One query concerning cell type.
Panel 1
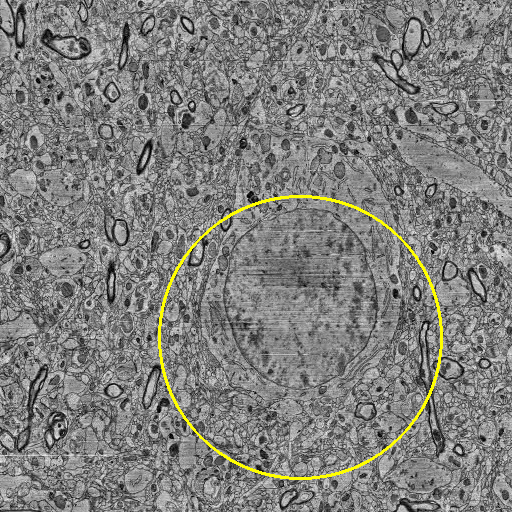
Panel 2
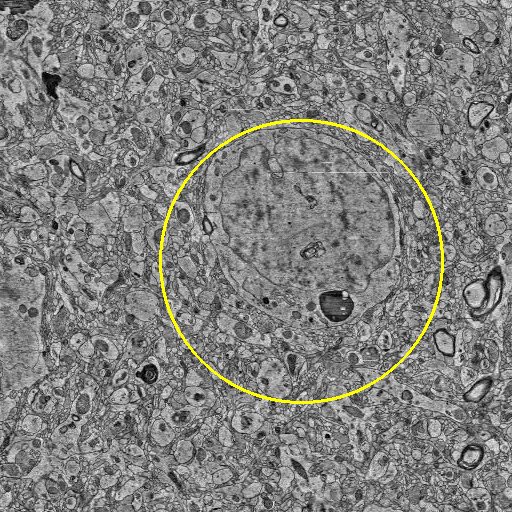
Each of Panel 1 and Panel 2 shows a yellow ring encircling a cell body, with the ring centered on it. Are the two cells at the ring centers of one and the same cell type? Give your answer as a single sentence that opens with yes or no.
Yes, the cell centered in Panel 1 and the one in Panel 2 share a type.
